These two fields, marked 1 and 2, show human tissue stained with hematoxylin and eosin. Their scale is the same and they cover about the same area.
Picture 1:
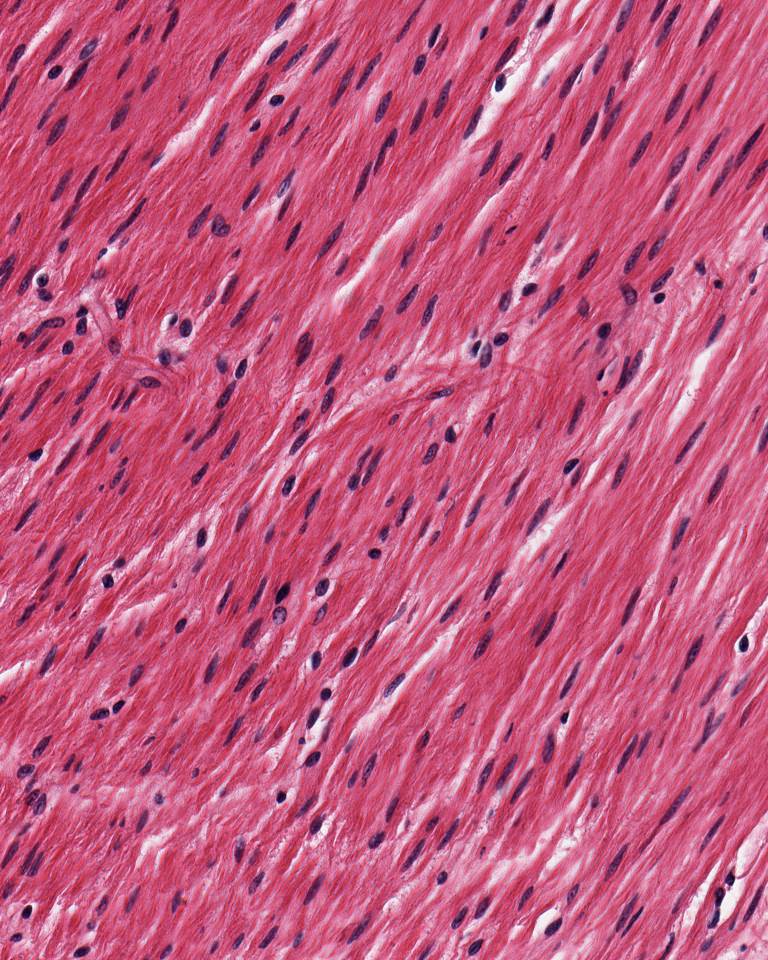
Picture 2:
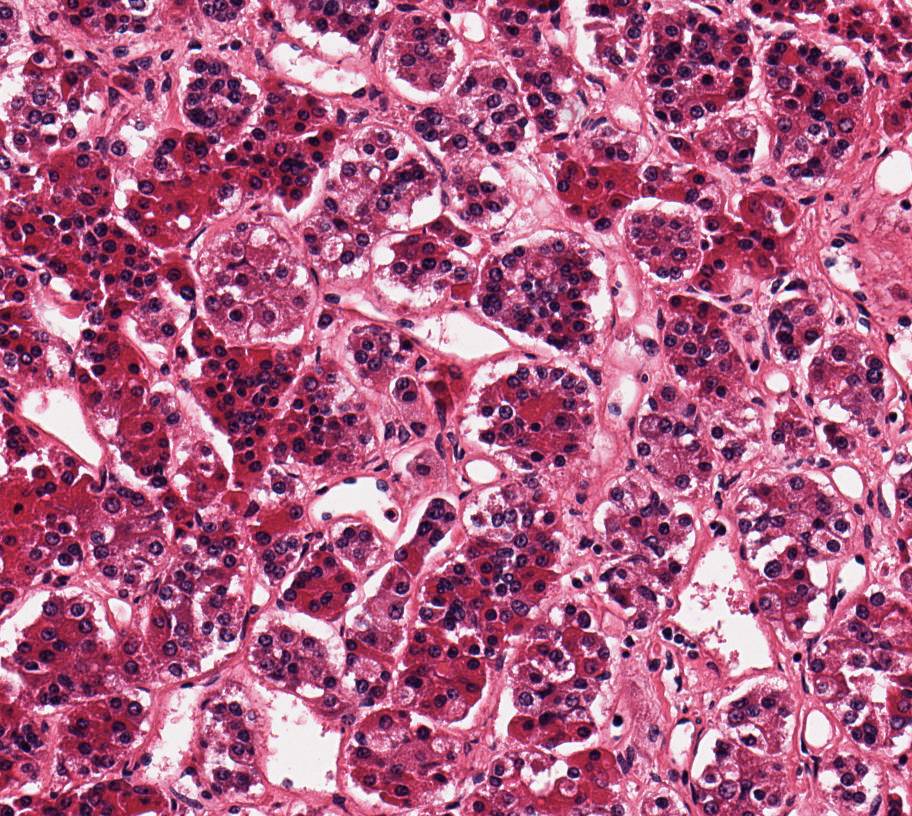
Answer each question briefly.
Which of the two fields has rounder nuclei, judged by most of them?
2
